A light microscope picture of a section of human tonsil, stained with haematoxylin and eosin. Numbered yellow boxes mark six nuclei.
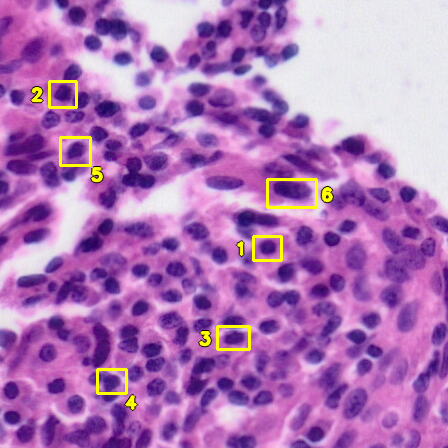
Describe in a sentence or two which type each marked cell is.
Cells 1, 2, 3 and 5 are plasma cells. Cell 4 is a small lymphocyte. Cell 6 is a squamous epithelial cell.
